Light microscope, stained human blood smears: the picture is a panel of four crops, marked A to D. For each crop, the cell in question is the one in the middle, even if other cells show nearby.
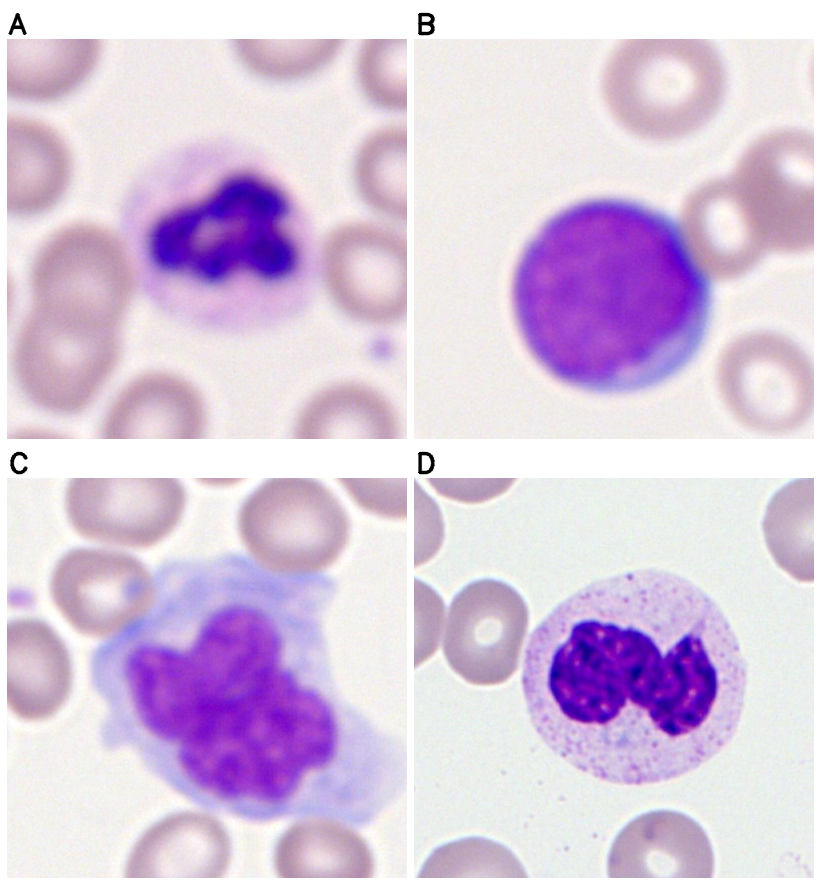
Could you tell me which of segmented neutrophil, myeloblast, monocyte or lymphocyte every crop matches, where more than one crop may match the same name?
A: segmented neutrophil
B: myeloblast
C: monocyte
D: segmented neutrophil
